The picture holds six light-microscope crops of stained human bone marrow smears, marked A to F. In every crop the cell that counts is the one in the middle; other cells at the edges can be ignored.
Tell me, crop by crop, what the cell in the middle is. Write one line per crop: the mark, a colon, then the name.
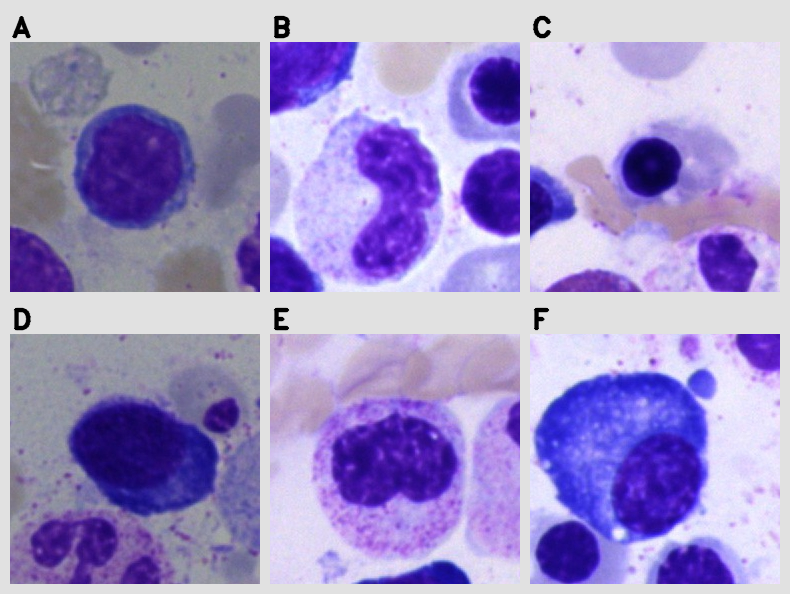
A: lymphocyte
B: band neutrophil
C: normoblast
D: plasma cell
E: metamyelocyte
F: plasma cell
